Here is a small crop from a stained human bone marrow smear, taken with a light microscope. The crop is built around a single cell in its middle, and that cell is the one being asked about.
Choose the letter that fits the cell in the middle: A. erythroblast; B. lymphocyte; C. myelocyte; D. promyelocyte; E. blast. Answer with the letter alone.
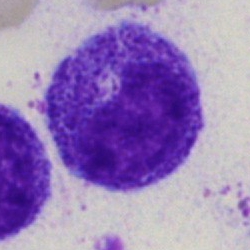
D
